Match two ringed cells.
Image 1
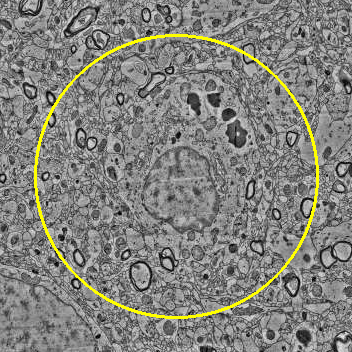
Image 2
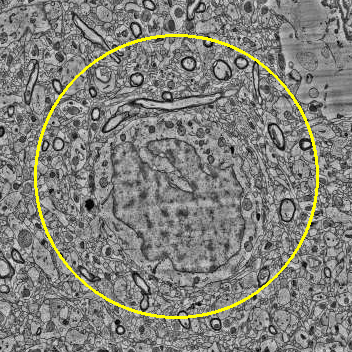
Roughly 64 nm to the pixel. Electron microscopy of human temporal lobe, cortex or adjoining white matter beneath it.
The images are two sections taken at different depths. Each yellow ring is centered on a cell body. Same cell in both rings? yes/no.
no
